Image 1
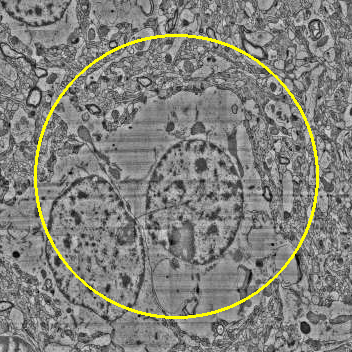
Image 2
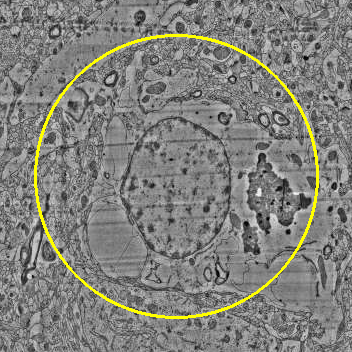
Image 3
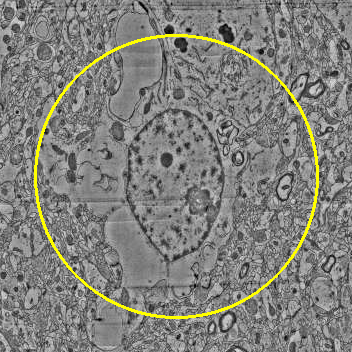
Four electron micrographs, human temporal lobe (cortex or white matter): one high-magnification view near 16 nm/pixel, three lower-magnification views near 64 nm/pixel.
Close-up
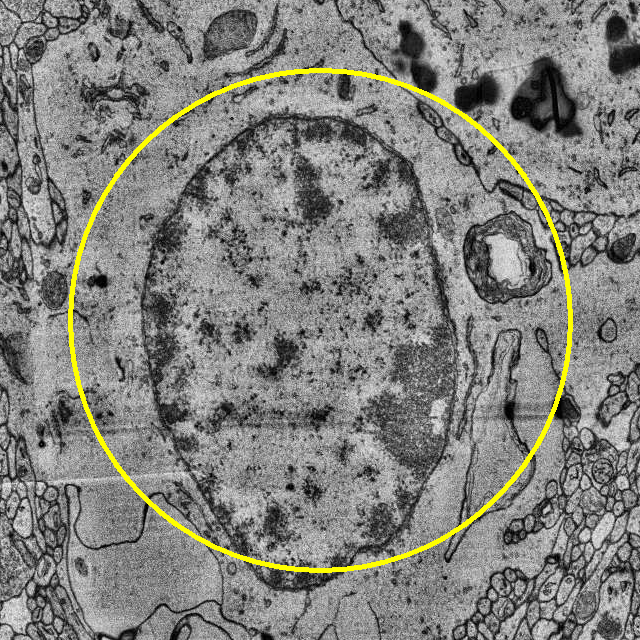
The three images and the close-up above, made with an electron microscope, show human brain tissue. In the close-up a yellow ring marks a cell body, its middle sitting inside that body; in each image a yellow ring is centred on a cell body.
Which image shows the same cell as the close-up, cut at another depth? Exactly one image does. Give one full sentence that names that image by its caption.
The close-up singles out the cell ringed in Image 3.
